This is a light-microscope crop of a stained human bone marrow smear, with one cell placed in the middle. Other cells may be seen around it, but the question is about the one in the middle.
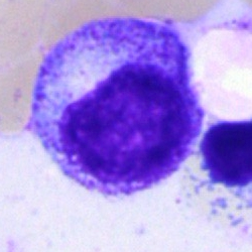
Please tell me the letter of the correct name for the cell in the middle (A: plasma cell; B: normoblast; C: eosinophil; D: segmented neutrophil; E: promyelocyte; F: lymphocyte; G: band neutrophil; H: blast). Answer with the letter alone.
E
